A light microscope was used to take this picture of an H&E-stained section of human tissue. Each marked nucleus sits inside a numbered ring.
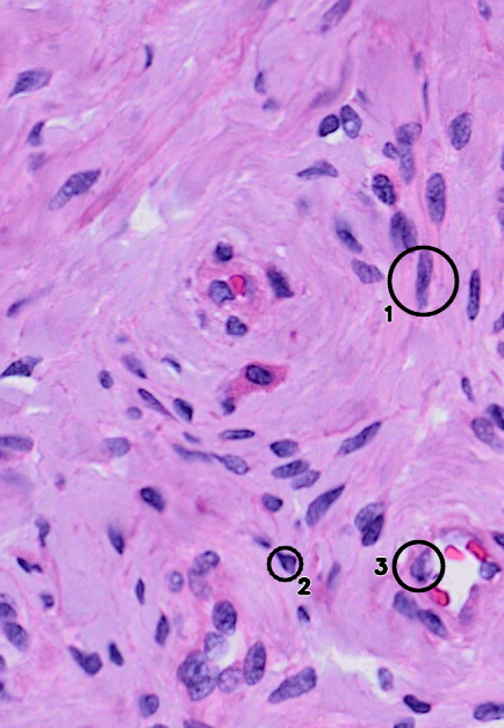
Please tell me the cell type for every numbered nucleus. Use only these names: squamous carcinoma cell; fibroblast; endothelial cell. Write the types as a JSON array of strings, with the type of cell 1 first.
["fibroblast", "fibroblast", "endothelial cell"]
